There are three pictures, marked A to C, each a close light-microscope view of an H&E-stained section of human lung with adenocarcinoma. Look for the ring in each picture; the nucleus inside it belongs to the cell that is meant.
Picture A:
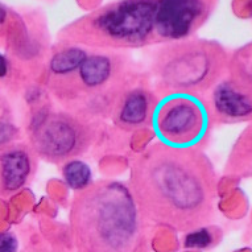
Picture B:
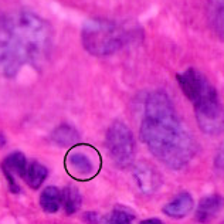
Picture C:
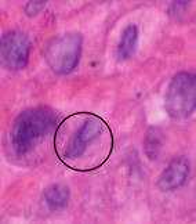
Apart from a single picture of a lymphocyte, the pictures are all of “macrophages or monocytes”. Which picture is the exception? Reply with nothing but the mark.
B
